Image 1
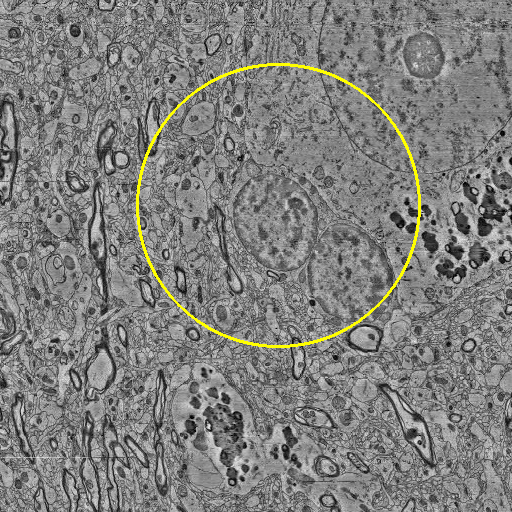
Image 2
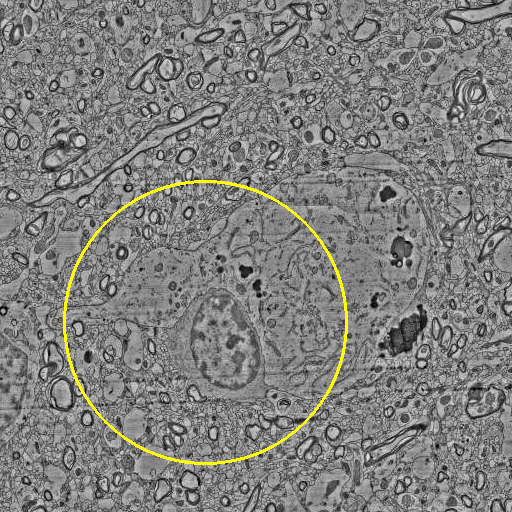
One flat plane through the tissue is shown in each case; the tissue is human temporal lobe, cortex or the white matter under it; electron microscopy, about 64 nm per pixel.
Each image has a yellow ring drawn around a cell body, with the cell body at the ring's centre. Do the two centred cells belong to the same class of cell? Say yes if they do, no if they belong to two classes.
yes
